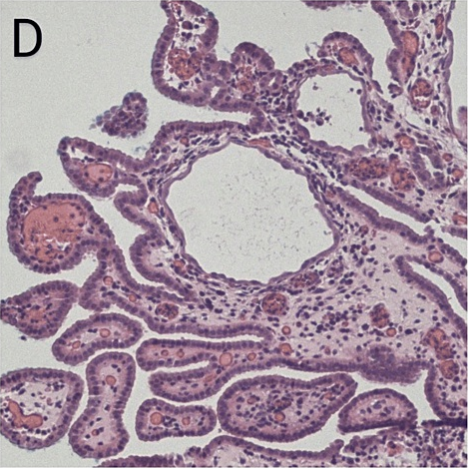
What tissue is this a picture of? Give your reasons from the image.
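Single layer of cuboidal epithelium. A large round cystic space is lined by one row of cells. No stratification of the lining is seen.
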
